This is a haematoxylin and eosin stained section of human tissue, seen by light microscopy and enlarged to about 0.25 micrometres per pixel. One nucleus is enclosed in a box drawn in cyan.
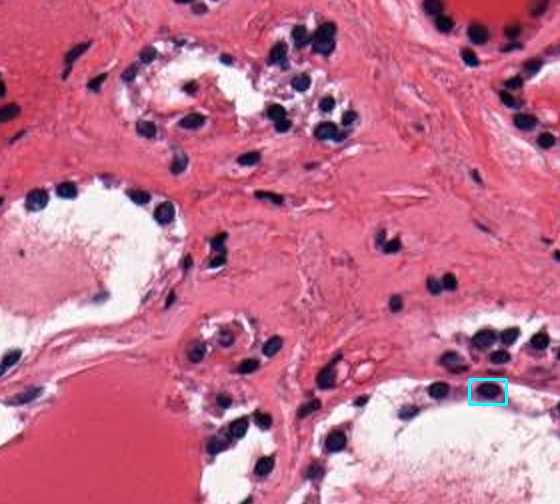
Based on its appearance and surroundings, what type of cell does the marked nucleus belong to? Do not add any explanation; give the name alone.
thyroid follicular cell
